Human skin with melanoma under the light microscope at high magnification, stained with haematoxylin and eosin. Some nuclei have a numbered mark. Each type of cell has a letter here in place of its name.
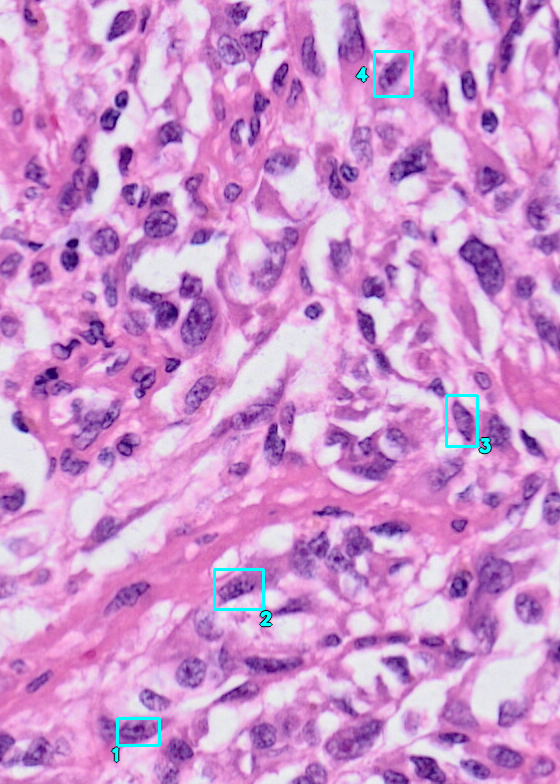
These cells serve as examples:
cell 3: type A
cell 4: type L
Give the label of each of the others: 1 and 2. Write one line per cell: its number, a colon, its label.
1: type L
2: type L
